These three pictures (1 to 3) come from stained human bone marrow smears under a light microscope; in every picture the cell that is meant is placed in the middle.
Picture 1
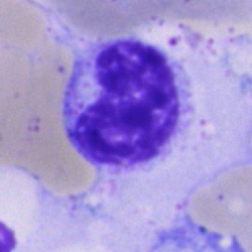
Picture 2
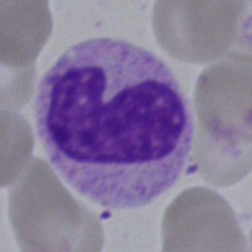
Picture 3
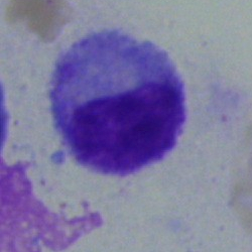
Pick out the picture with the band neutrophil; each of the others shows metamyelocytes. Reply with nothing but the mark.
2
